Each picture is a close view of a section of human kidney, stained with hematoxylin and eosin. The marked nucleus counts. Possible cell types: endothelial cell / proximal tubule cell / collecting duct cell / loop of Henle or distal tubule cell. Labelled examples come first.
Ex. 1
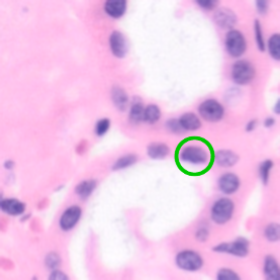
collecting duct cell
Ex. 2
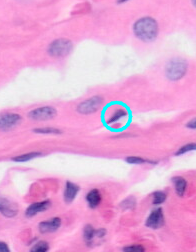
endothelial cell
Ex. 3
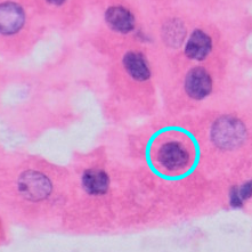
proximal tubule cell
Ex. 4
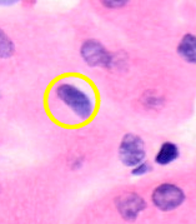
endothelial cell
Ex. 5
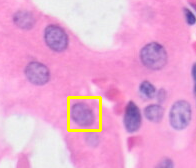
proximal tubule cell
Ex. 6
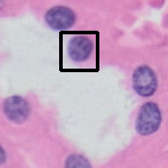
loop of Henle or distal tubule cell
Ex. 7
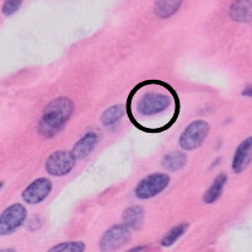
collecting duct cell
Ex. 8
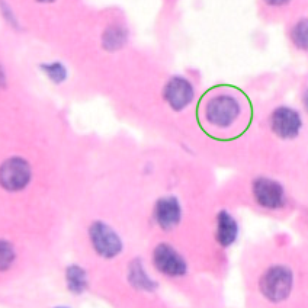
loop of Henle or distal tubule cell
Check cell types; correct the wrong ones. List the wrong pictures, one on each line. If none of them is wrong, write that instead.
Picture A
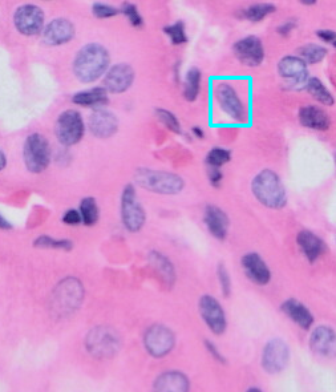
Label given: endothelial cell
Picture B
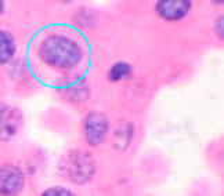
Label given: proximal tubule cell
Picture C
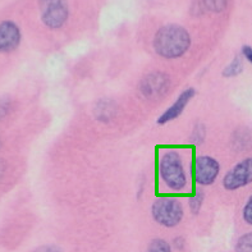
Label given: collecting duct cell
B: loop of Henle or distal tubule cell, not proximal tubule cell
